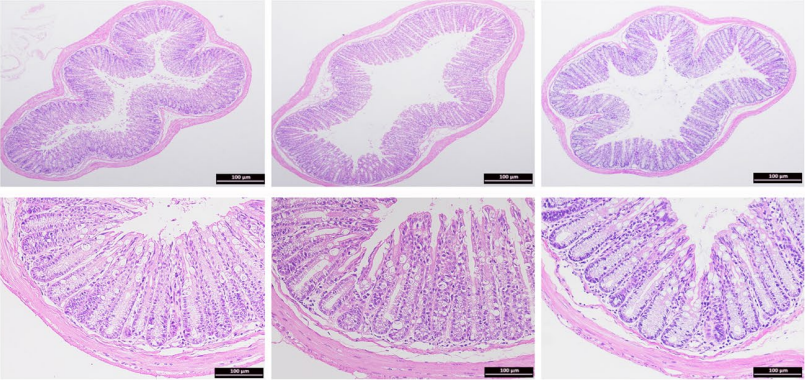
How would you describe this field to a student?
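At low magnification these are whole cross-sections of colon, with a folded mucosa around a central lumen and a thin pink muscular coat at the outside. At higher magnification the mucosa consists of closely packed, straight tubular crypts running from the muscle layer toward the lumen, lined by columnar epithelium with purple nuclei near the base. Many cells along the crypts have pale, clear cytoplasm, the look of mucus-filled goblet cells, and a cellular lamina propria fills the spaces between crypts.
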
